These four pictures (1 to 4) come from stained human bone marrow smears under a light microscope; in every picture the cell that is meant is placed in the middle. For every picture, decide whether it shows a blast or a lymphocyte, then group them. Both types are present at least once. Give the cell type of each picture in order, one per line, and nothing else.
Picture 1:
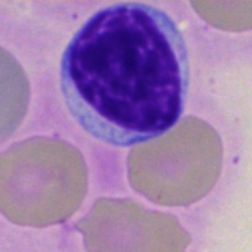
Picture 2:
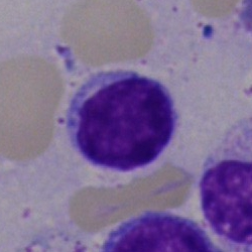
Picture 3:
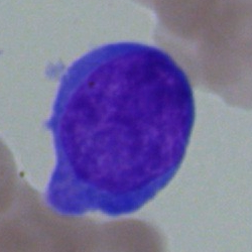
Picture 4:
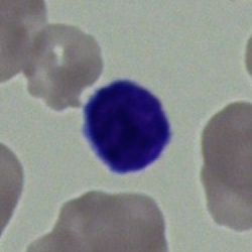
lymphocyte
lymphocyte
blast
lymphocyte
